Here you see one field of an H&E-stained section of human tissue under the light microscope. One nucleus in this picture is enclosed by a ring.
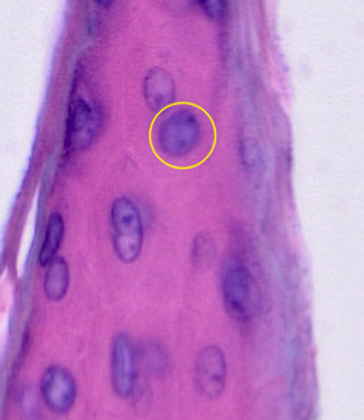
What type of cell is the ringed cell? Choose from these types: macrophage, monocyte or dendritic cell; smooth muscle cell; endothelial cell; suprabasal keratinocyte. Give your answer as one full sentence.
The ringed cell appears to be a suprabasal keratinocyte.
